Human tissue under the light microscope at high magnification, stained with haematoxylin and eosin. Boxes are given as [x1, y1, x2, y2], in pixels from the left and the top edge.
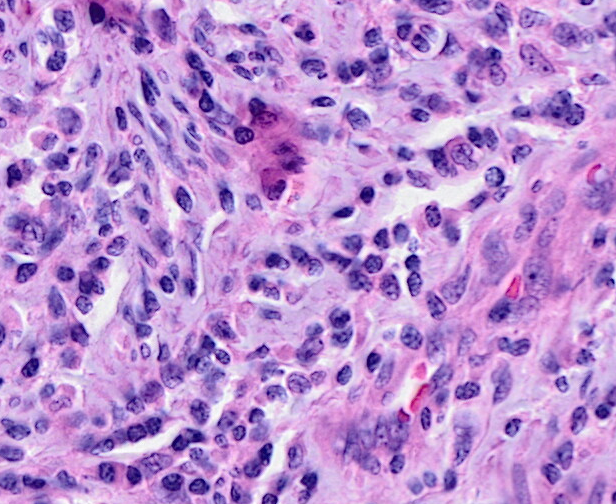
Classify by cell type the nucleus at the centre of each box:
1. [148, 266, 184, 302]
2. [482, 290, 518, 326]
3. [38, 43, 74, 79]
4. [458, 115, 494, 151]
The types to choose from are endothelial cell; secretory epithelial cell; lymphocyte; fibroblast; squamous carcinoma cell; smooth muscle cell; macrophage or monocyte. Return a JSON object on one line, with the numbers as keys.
{"1": "lymphocyte", "2": "endothelial cell", "3": "lymphocyte", "4": "lymphocyte"}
